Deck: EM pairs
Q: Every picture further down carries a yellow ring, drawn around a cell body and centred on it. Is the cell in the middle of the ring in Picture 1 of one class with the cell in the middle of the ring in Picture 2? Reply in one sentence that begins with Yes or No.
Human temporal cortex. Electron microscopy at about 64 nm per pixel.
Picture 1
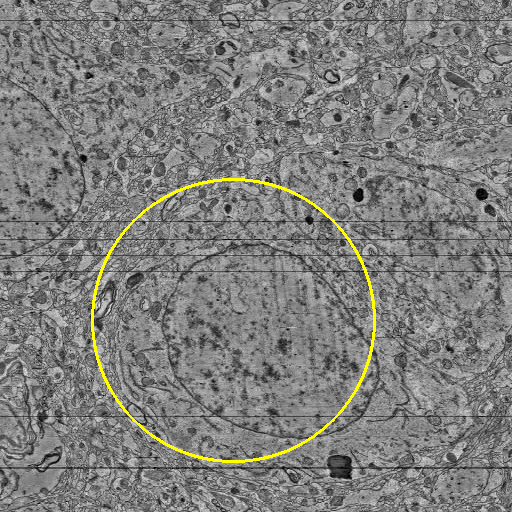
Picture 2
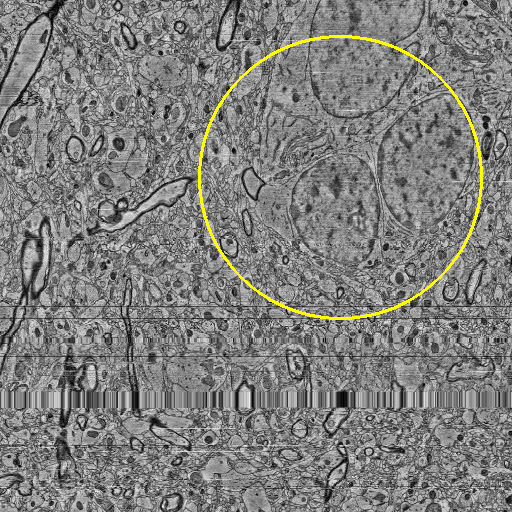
No, the cell centred in the ring of Picture 1 and the one in Picture 2 belong to separate classes.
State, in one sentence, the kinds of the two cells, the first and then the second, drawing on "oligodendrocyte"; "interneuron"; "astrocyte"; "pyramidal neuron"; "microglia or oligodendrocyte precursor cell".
The ring in the second picture is centred on a microglial cell or oligodendrocyte precursor cell, the ring in the first on a pyramidal neuron.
